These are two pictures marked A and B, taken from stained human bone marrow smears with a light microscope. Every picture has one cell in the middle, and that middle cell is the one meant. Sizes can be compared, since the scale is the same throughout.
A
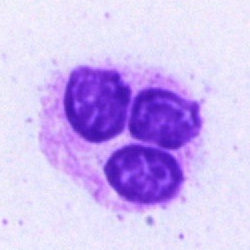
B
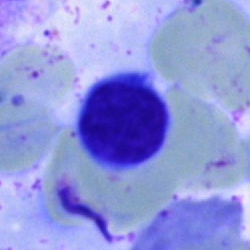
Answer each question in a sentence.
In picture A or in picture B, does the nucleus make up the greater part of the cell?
The nucleus fills more of the cell in picture B than in picture A.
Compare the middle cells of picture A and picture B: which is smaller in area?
It is the cell in picture B; the cell in picture A has about 2.5 times its area.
